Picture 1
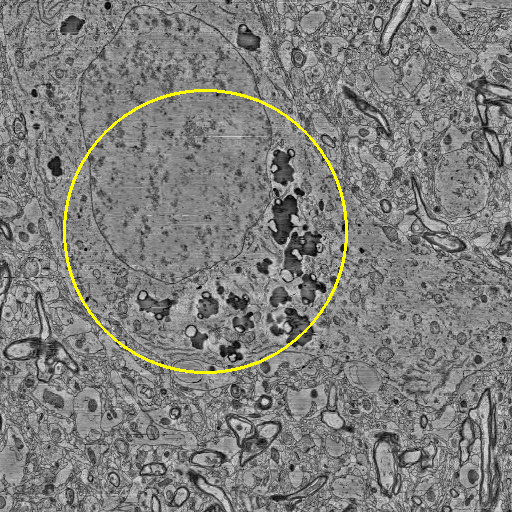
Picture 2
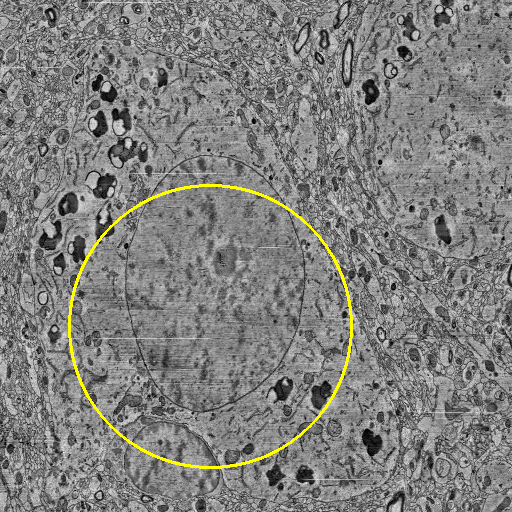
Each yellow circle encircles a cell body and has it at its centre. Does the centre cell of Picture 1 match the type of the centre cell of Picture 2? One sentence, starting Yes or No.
Yes, the cell centred in Picture 1 and the one in Picture 2 share a type.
